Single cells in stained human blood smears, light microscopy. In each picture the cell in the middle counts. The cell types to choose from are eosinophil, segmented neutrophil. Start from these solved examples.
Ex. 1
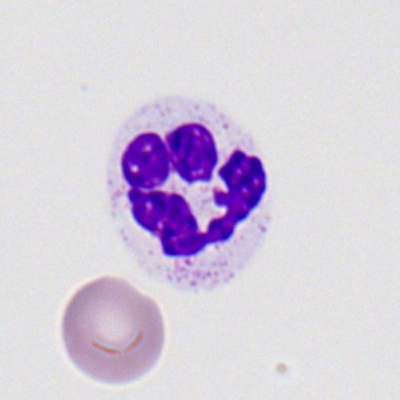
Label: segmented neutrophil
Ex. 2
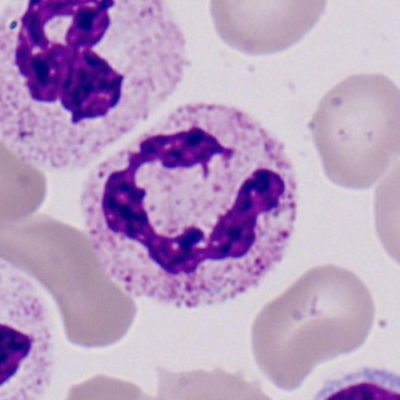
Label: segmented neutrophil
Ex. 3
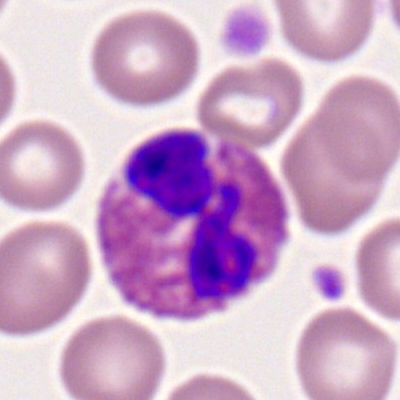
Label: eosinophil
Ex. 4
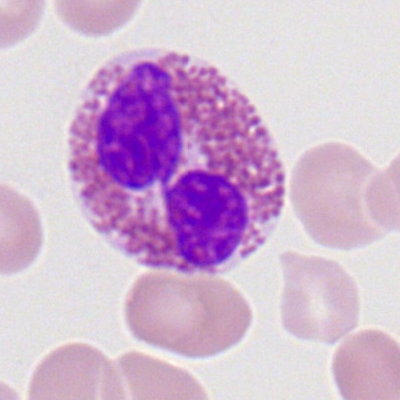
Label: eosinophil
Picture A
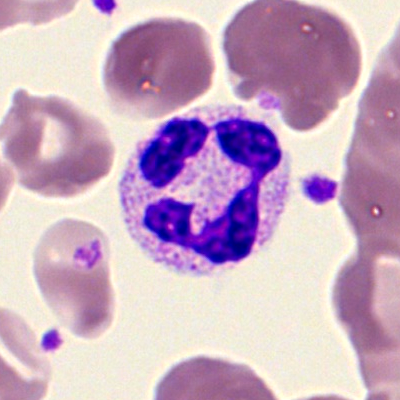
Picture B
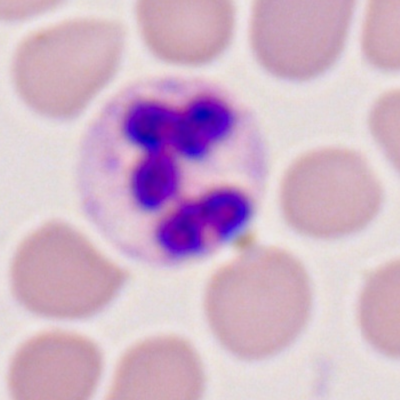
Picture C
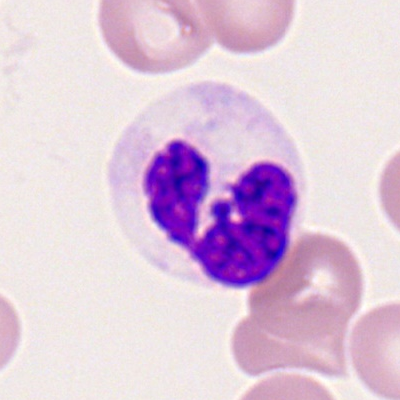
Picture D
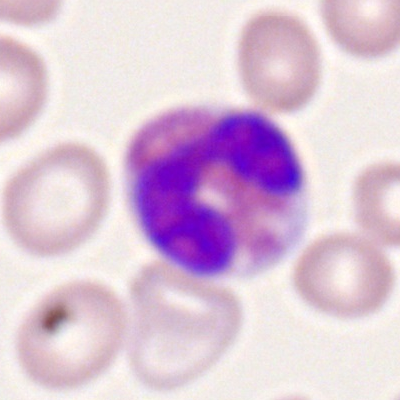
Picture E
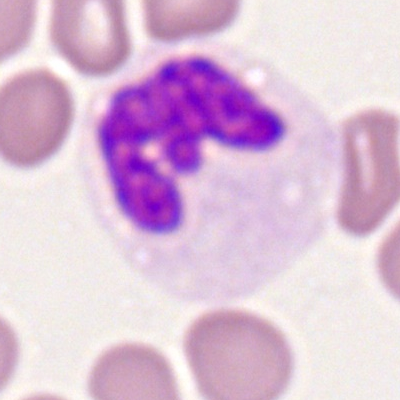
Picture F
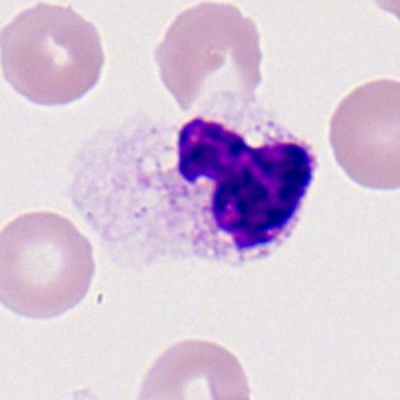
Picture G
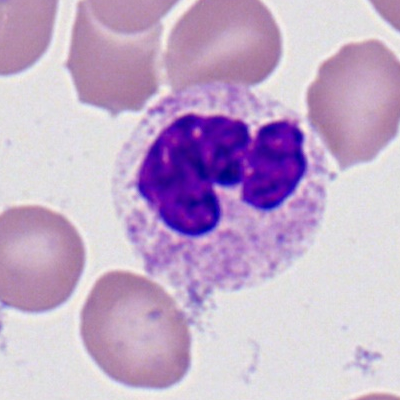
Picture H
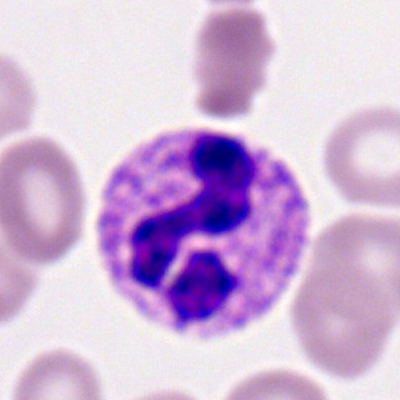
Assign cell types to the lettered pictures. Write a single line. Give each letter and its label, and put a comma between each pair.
A segmented neutrophil, B segmented neutrophil, C segmented neutrophil, D eosinophil, E segmented neutrophil, F segmented neutrophil, G segmented neutrophil, H segmented neutrophil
